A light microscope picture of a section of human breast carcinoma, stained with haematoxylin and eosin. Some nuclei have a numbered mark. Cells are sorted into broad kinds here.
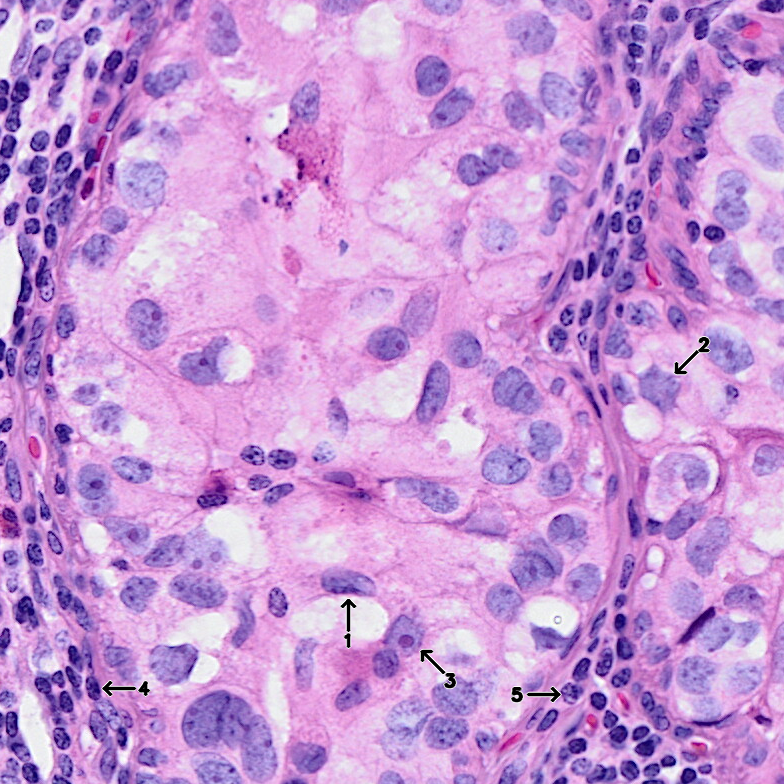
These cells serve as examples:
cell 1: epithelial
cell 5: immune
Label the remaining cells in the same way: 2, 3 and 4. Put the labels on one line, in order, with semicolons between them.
epithelial; epithelial; immune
